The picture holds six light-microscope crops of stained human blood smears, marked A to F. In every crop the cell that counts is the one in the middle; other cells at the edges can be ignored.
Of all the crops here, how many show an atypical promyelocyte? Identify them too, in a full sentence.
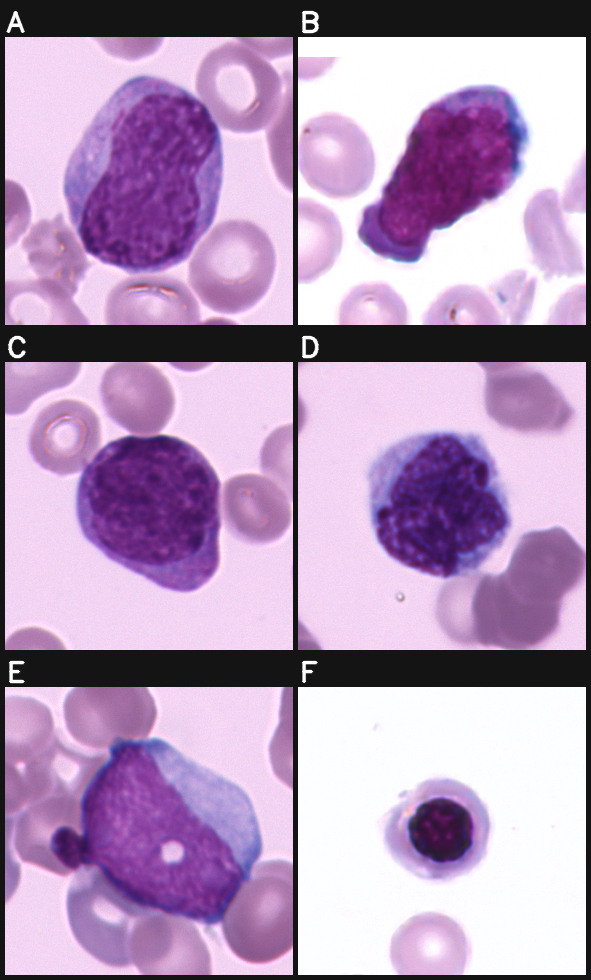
Altogether three crops, namely A, B and C, show atypical promyelocytes.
